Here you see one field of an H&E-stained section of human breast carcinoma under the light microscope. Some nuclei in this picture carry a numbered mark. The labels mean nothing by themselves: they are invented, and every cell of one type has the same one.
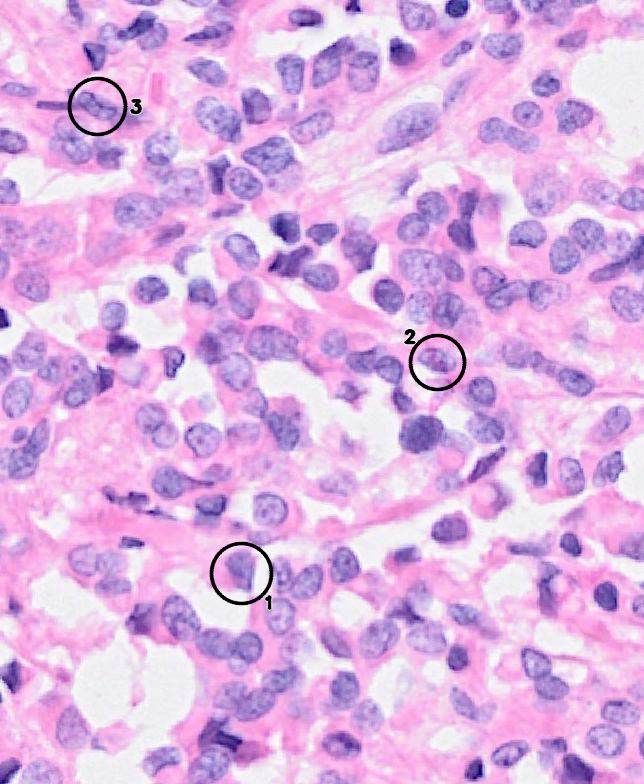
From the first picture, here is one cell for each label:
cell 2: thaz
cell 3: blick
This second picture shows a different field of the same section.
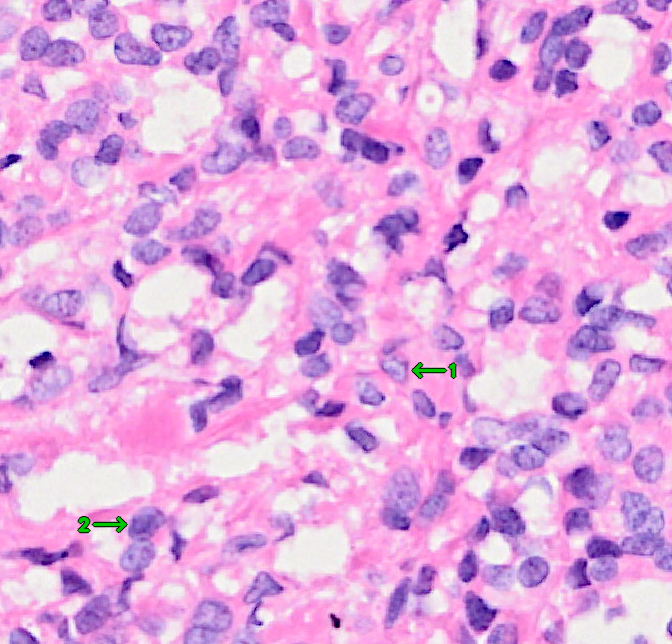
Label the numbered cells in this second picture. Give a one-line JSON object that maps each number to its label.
{"1": "blick", "2": "thaz"}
